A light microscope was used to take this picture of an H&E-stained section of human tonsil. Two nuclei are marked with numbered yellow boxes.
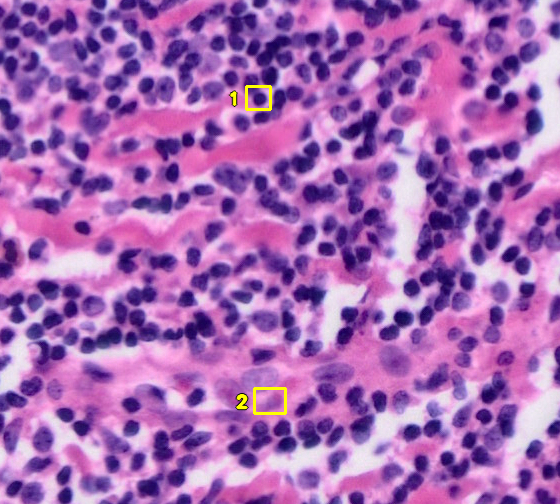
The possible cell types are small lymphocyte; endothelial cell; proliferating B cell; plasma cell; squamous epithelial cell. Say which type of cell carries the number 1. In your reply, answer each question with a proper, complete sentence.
The cell indicated with the number 1 is classed as a small lymphocyte.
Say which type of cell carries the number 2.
To an endothelial cell belongs the nucleus marked 2.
